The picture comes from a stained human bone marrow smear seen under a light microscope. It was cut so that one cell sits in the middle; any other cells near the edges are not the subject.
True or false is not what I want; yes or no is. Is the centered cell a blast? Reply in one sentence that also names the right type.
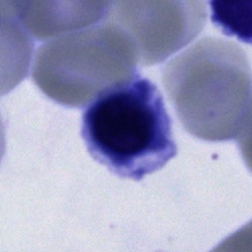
No, in this crop the central cell is a normoblast instead of a blast.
